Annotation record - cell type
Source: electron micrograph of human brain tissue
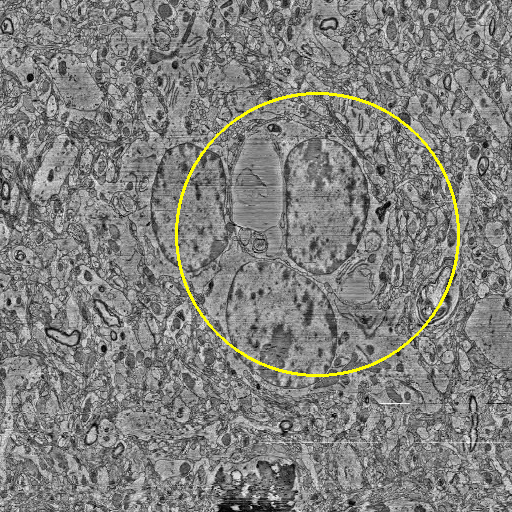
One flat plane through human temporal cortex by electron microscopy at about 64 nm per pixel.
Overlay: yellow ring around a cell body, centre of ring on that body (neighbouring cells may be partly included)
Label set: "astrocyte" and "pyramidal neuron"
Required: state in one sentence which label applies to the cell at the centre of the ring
This cell should be labelled as an astrocyte.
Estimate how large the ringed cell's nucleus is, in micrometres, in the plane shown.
Roughly 9 by 5 micrometers, clearly longer than it is wide in this plane.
